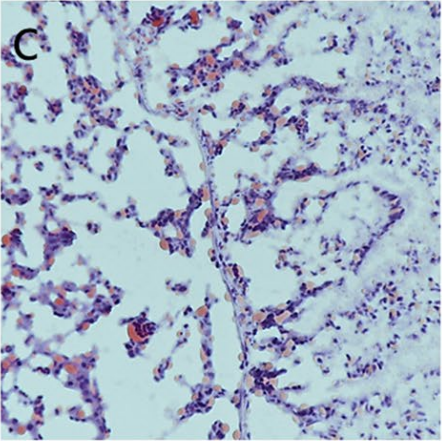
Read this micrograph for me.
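This section shows liver tissue with scattered red-orange lipid droplets. Cells with dark purple nuclei form branching strands and clusters separated by wide pale spaces. Small round red-orange droplets lie along and among these cell strands. A thin band of elongated cells runs vertically through the middle of the field.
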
